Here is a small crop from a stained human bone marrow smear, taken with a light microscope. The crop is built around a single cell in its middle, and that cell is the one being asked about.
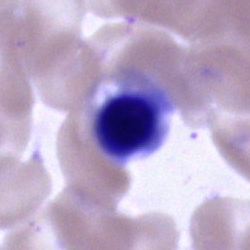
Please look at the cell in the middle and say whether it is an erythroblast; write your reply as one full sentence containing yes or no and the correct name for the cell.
Yes, the cell centred in the field of view is an erythroblast.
